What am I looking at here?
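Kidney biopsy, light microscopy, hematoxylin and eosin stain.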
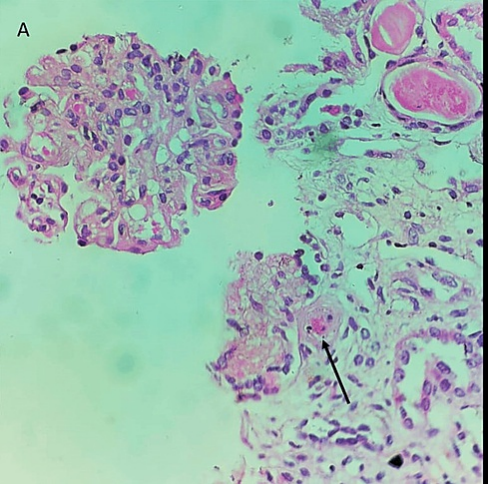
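Renal cortex with a whole glomerulus at the upper left and part of a second glomerulus below it, set against loose pale interstitium with tubules at the right. The upper glomerulus shows lobulated tufts with open capillary loops, scattered purple nuclei and pink capillary walls. Beside the lower glomerulus a small vessel holds a dense pink plug in its lumen. At the top right, round structures are filled with homogeneous bright pink material. The interstitium between the structures is loose, pale and sparsely cellular.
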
